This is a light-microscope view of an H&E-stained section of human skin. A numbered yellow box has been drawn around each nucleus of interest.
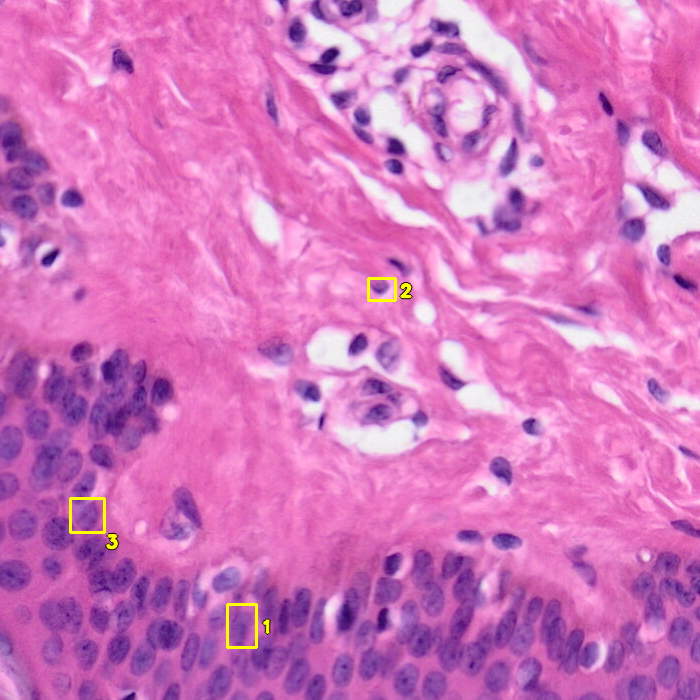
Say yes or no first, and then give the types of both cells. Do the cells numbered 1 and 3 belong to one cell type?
Yes, in the case of cells 1 and 3, both are basal keratinocytes.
